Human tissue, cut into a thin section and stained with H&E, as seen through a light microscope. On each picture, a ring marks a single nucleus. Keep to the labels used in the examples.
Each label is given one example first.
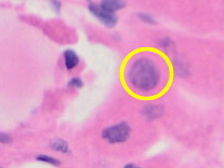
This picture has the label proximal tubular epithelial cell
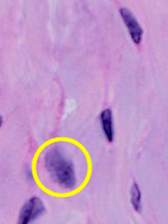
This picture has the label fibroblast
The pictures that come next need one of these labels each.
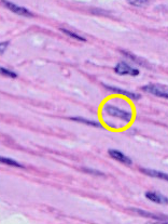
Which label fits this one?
fibroblast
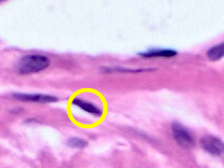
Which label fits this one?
fibroblast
